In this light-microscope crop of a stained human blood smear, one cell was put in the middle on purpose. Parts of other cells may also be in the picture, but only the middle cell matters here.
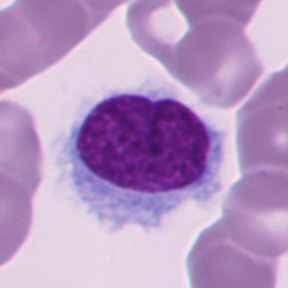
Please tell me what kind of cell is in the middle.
hairy cell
